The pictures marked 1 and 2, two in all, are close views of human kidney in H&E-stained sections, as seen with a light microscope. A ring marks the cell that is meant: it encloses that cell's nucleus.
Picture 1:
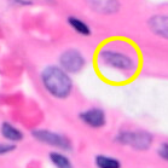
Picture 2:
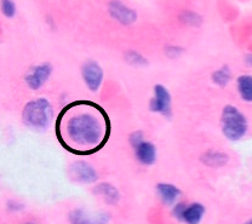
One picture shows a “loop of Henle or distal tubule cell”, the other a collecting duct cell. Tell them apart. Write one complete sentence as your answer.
In picture 1 the cell is a collecting duct cell; in picture 2, a “loop of Henle or distal tubule cell”.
